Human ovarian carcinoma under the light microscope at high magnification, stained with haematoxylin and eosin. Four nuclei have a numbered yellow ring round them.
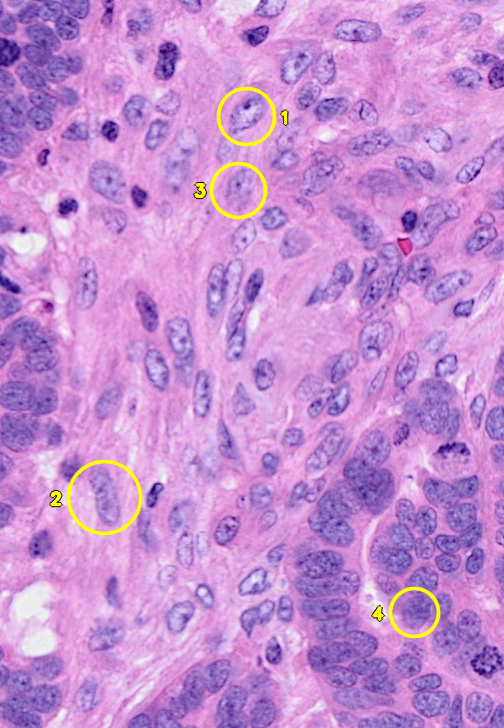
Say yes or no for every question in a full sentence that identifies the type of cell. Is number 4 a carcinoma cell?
Yes, that is correct: the cell numbered 4 is a carcinoma cell.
